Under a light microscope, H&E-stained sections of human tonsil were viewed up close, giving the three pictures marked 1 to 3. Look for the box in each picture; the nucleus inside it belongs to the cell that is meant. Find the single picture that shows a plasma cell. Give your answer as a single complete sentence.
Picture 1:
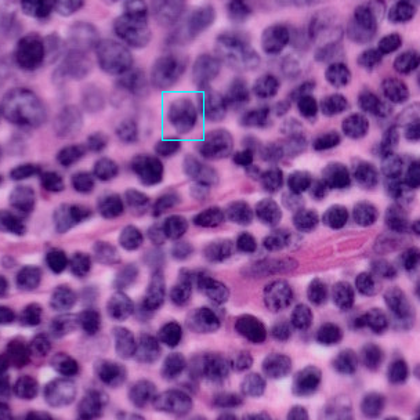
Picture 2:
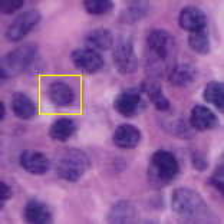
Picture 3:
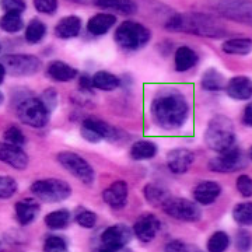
It is picture 2 that shows the plasma cell.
